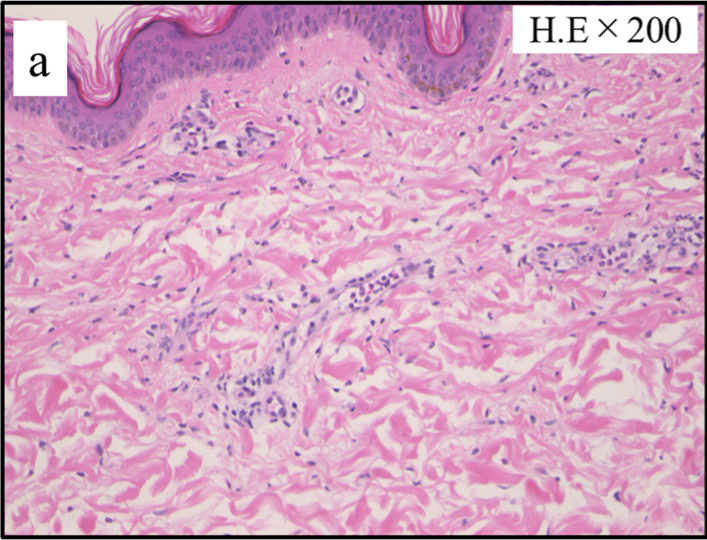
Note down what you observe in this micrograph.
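A purple stratified squamous epidermis at the top overlies dermis made of loose, wavy pink collagen bundles. Small blood vessels cross the dermis, and each is ringed by clusters of small dark nuclei, while the collagen in between holds only scattered cells. This is a mild perivascular inflammatory infiltrate in the dermis.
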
